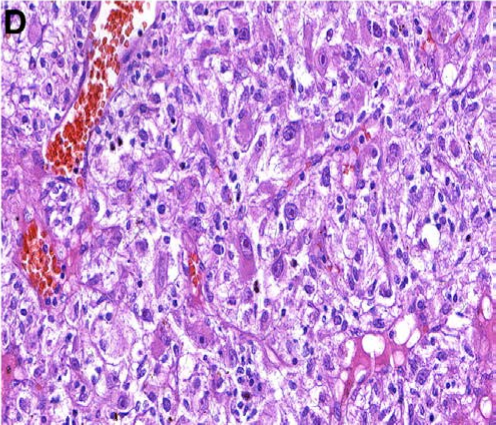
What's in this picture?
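Here epithelioid-like tumor cells with plentiful pale pink to clear cytoplasm lie packed around small vessels filled with red blood cells. The nuclei are round to oval, of varying size, and sit within cells with fairly distinct borders.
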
